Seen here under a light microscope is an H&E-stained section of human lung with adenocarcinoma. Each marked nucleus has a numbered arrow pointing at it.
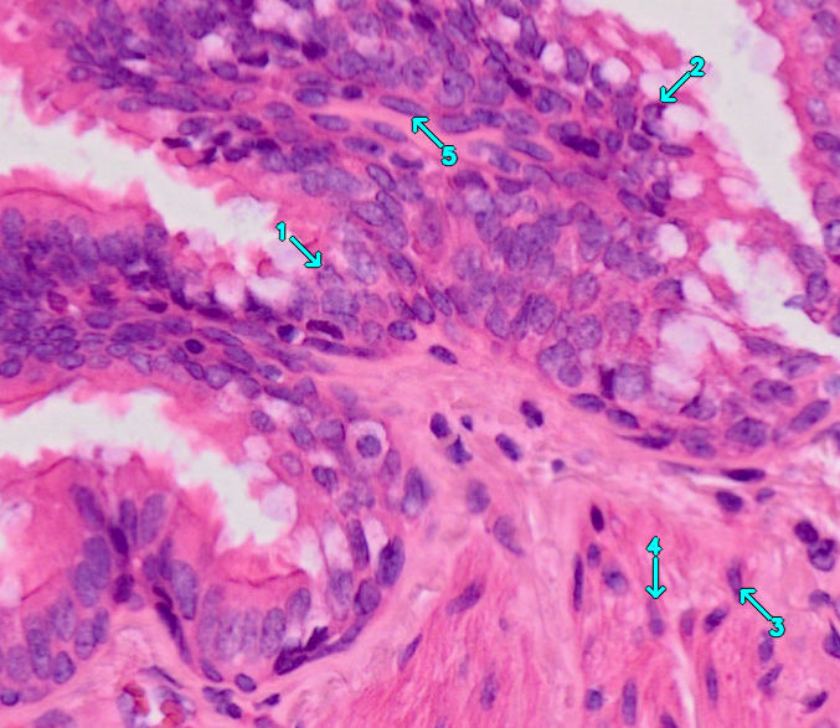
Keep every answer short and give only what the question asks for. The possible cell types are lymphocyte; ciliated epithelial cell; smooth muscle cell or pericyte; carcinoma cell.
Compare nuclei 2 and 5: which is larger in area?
5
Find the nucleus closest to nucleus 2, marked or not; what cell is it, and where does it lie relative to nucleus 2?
a ciliated epithelial cell, below nucleus 2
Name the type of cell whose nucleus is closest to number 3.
smooth muscle cell or pericyte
